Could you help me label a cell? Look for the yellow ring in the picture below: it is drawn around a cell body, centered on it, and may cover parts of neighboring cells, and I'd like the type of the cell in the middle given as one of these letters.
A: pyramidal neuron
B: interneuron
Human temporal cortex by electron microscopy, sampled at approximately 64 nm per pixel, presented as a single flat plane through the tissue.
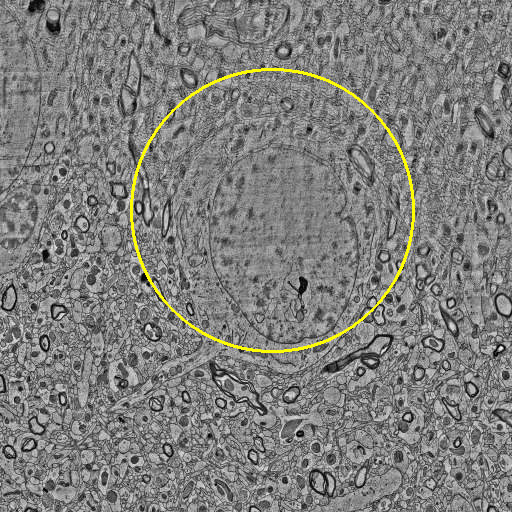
A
